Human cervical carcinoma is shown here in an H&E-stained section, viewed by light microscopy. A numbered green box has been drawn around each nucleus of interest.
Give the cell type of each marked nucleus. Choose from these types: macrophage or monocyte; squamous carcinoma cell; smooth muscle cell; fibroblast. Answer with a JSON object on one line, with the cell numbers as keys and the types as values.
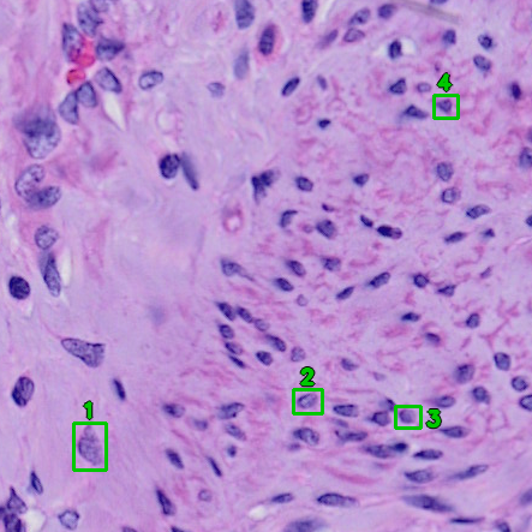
{"1": "fibroblast", "2": "smooth muscle cell", "3": "smooth muscle cell", "4": "smooth muscle cell"}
